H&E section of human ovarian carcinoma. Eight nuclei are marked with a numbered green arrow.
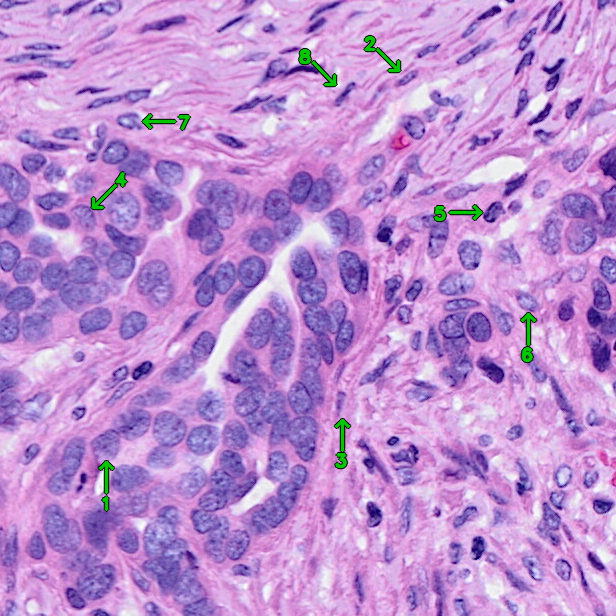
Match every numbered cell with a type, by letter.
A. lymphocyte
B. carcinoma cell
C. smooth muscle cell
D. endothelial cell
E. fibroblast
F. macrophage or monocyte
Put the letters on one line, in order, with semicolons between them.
B; E; E; B; A; E; E; E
